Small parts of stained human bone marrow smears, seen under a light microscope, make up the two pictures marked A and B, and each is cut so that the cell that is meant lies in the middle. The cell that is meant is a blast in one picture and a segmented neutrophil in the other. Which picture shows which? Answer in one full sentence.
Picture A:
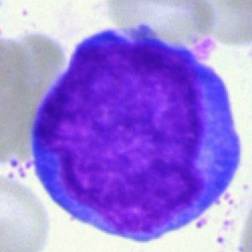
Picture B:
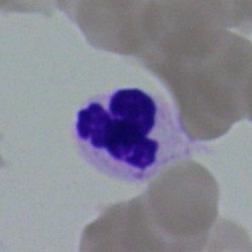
Picture A shows a blast and picture B shows a segmented neutrophil.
